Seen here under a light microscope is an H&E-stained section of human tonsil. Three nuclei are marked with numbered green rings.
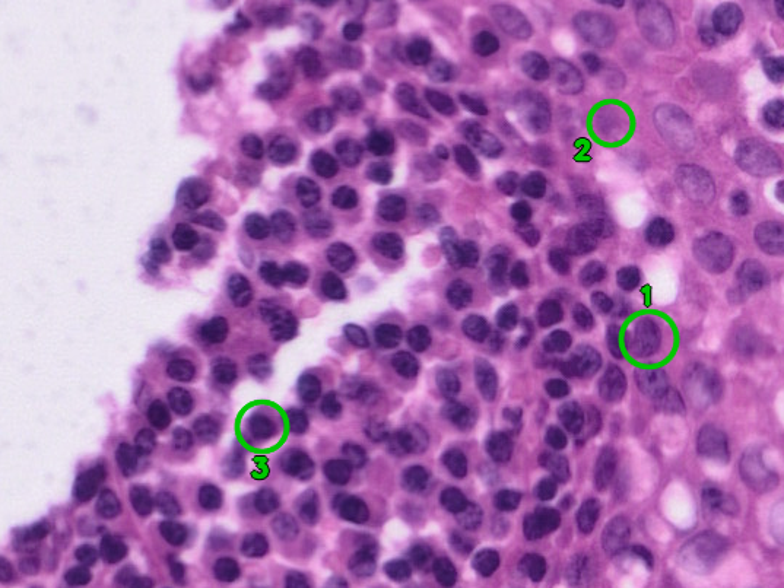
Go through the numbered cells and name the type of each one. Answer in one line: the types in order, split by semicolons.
squamous epithelial cell; squamous epithelial cell; plasma cell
